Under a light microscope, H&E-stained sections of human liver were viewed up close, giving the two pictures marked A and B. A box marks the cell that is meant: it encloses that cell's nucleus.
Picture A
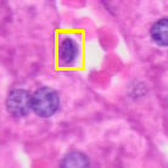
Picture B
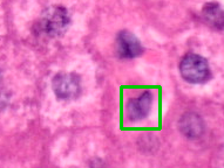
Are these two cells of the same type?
yes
